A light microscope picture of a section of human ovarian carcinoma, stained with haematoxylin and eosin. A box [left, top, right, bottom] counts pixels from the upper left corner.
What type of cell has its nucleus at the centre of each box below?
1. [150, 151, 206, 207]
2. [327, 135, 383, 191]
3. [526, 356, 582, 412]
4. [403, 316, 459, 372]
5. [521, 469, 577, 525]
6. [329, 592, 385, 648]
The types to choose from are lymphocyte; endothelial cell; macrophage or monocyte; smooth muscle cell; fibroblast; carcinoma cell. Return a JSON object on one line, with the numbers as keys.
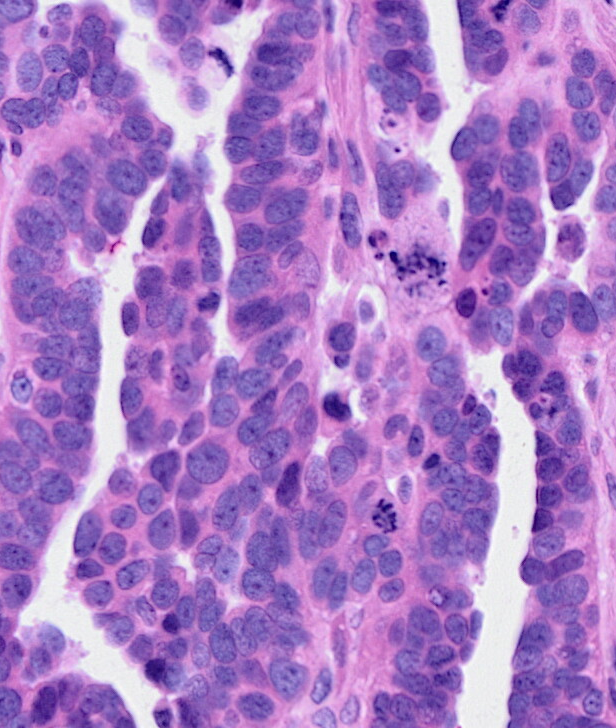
{"1": "carcinoma cell", "2": "fibroblast", "3": "carcinoma cell", "4": "carcinoma cell", "5": "carcinoma cell", "6": "fibroblast"}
